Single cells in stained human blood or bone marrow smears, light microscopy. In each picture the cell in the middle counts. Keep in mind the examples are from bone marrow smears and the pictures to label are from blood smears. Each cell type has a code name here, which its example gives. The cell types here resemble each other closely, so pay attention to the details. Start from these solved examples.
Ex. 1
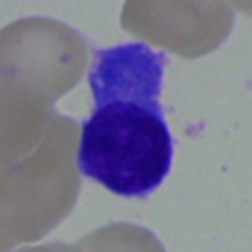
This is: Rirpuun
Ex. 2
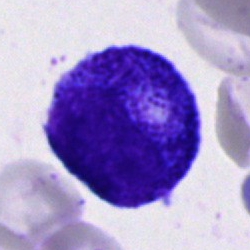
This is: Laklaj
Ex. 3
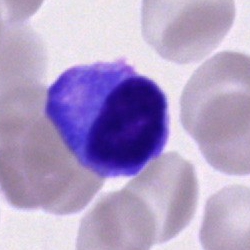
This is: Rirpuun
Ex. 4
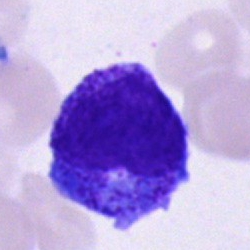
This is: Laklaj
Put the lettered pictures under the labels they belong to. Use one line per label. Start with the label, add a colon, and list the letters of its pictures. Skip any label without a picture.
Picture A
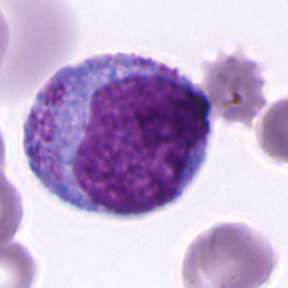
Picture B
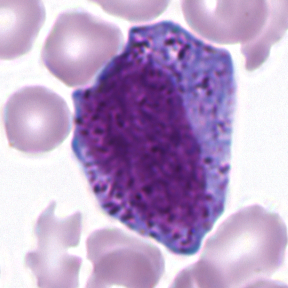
Laklaj: A, B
